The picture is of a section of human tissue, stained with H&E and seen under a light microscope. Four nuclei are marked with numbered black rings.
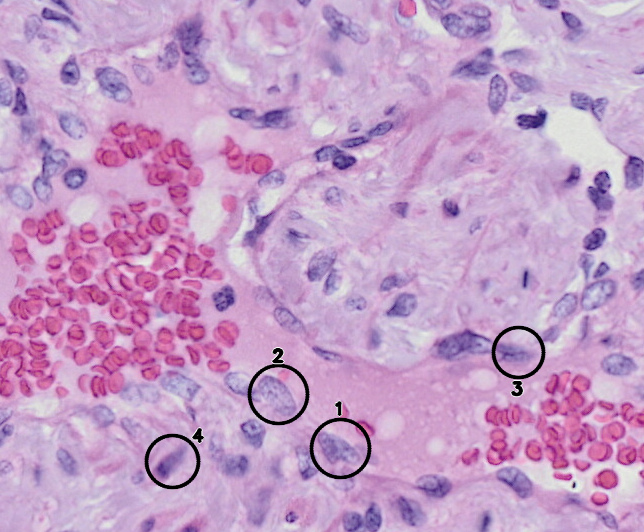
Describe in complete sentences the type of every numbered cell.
Cell 1 is an endothelial cell, cell 2 is an endothelial cell, cell 3 is an endothelial cell and cell 4 is a smooth muscle cell.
